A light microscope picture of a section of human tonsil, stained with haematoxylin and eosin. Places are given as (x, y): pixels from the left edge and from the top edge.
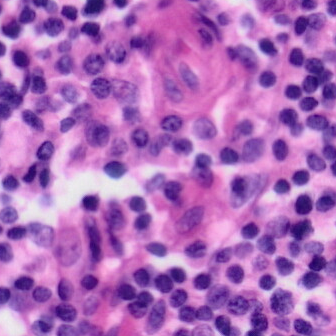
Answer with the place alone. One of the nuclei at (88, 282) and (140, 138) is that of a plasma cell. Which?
(140, 138)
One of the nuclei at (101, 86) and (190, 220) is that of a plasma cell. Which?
(101, 86)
